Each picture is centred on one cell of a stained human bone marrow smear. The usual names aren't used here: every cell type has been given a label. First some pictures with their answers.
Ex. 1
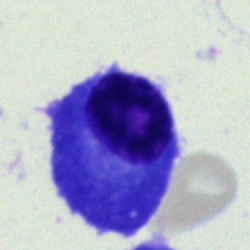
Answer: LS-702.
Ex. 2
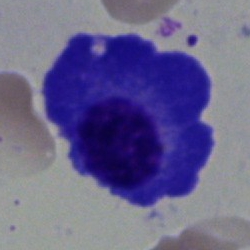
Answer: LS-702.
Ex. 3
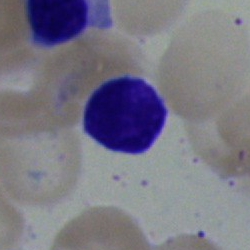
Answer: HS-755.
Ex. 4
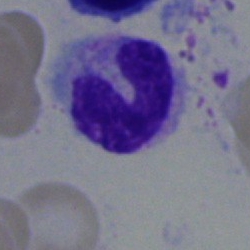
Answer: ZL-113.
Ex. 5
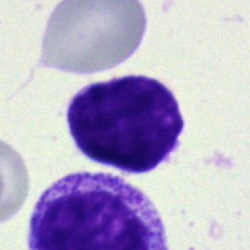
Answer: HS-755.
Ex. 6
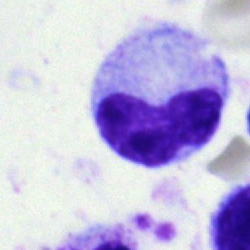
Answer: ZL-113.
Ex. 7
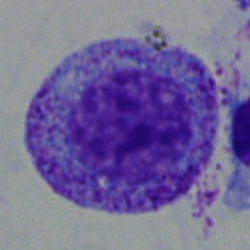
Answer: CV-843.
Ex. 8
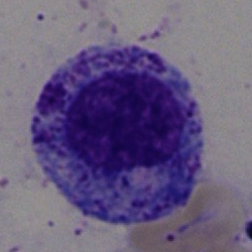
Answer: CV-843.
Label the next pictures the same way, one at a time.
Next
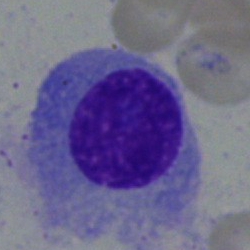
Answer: LS-702.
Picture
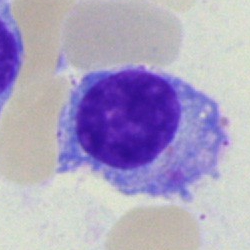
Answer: LS-702.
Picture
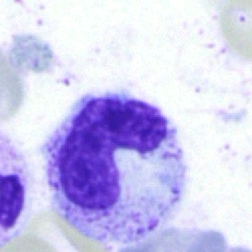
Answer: ZL-113.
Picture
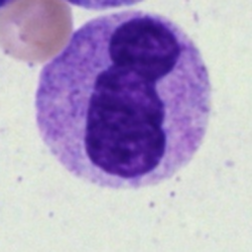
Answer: ZL-113.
